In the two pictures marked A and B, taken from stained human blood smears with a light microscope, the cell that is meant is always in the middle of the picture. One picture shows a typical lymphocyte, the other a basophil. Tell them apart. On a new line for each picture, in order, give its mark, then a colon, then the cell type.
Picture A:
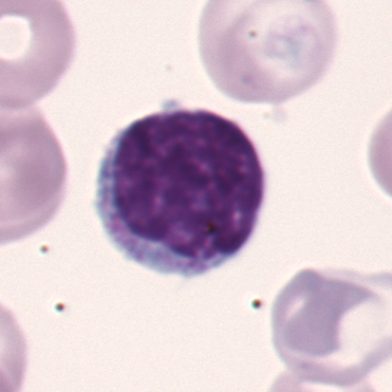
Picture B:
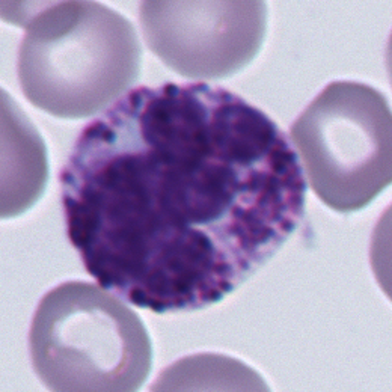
A: typical lymphocyte
B: basophil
